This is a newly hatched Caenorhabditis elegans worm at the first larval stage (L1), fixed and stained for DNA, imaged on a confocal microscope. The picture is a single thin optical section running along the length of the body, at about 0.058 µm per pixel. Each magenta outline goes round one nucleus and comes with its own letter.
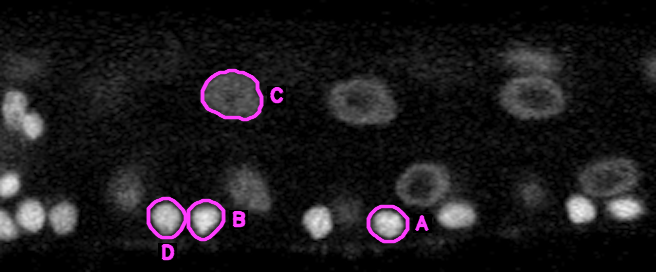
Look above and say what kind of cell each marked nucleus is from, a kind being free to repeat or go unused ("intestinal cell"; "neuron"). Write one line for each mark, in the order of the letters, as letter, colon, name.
A: neuron
B: neuron
C: intestinal cell
D: neuron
